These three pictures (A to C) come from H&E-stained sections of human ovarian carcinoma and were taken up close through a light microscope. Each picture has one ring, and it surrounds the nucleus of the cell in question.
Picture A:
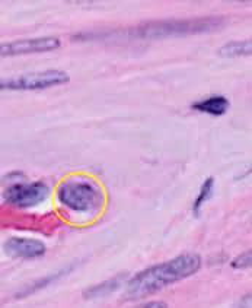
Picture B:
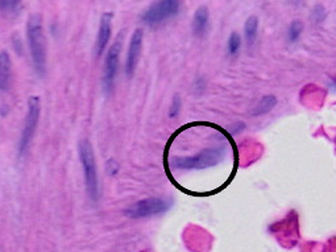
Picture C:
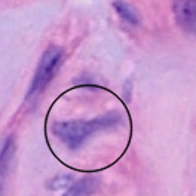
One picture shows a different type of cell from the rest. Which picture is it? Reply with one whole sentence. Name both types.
The others show endothelial cells, but picture C shows a smooth muscle cell.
